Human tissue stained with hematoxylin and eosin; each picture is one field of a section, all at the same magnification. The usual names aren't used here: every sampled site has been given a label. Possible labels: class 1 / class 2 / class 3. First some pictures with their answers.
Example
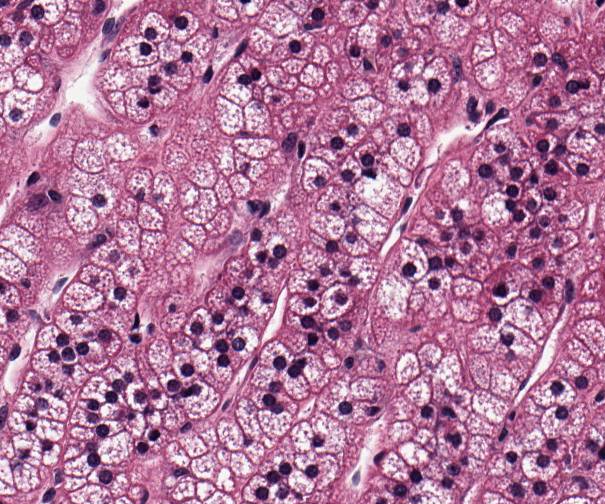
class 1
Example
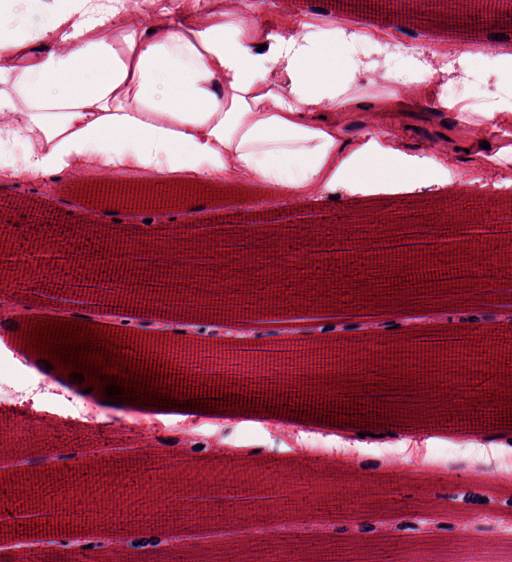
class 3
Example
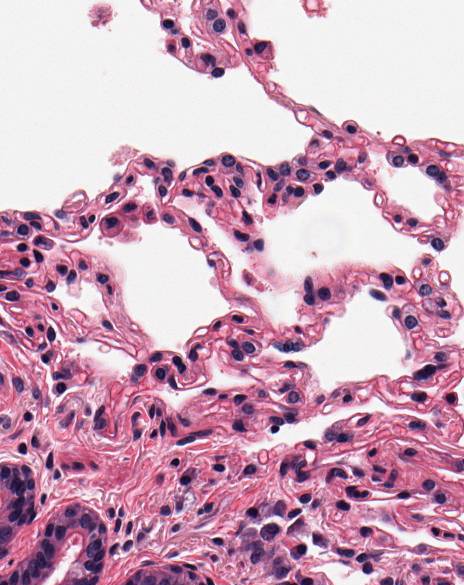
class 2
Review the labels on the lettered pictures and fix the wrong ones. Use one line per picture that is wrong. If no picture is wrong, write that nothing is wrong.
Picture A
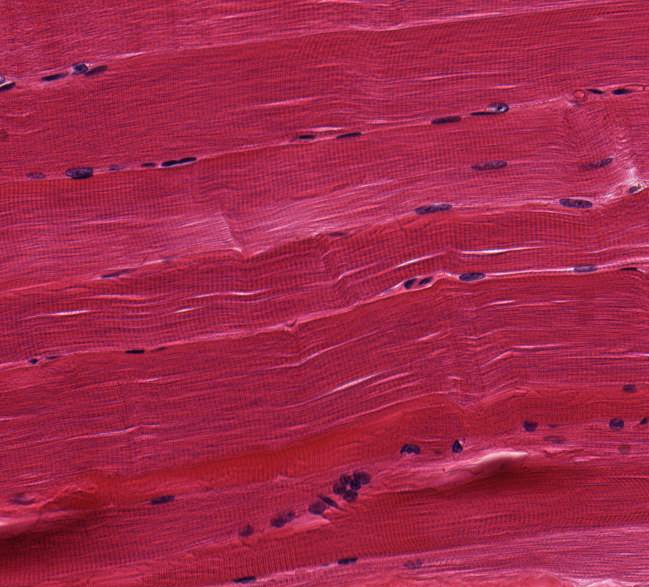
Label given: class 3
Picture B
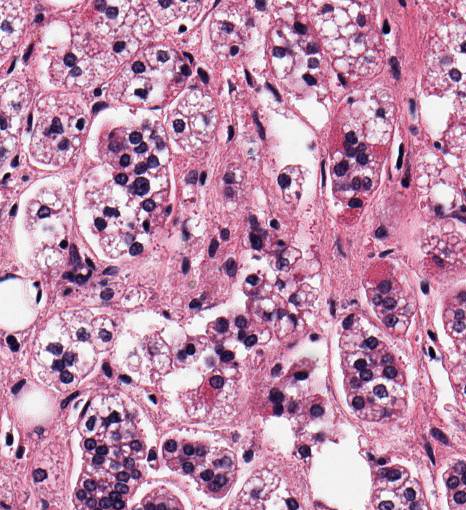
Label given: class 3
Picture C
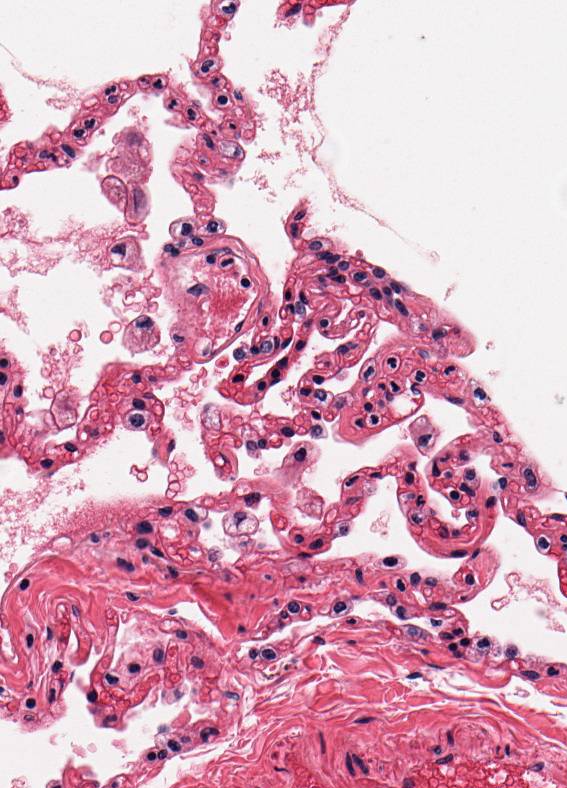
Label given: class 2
B is labelled class 3; correct label: class 1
